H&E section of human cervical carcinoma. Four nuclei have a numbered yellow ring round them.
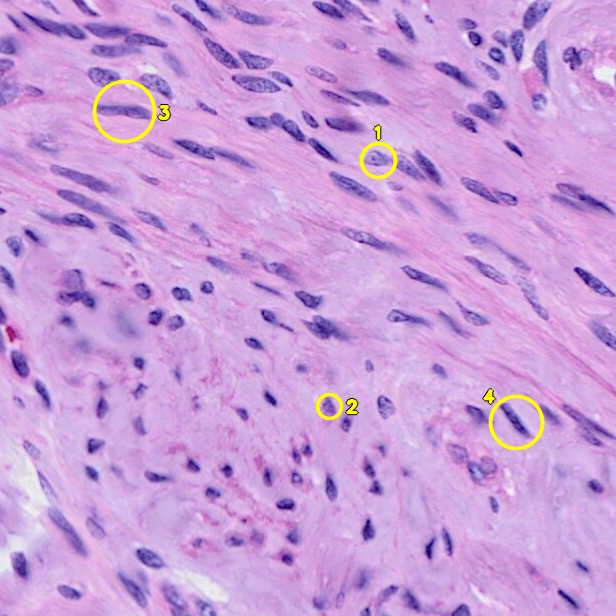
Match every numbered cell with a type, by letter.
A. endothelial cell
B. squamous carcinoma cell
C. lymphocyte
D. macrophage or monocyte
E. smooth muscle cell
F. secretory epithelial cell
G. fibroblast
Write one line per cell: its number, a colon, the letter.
1: G
2: E
3: G
4: G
